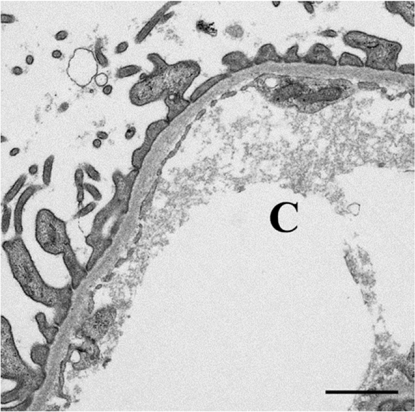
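This electron micrograph shows part of a glomerular capillary loop at high magnification, with the wide lumen on the right and the urinary space on the left. The lumen is mostly clear, with some loose granular material lying along the wall. The capillary wall is thin and consists of a dense basement membrane that curves across the field. Dark foot processes sit in a row on the outer surface of the basement membrane, separated by narrow slits, and a few cut processes float free in the urinary space.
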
